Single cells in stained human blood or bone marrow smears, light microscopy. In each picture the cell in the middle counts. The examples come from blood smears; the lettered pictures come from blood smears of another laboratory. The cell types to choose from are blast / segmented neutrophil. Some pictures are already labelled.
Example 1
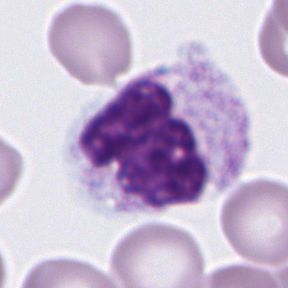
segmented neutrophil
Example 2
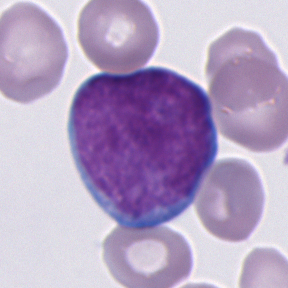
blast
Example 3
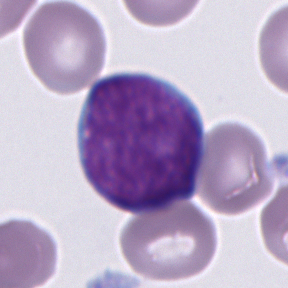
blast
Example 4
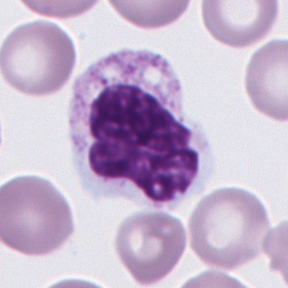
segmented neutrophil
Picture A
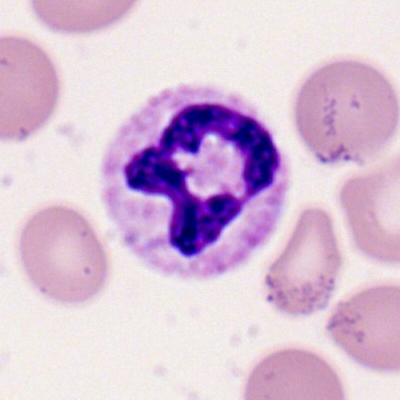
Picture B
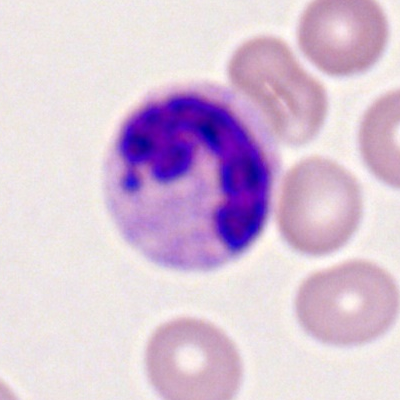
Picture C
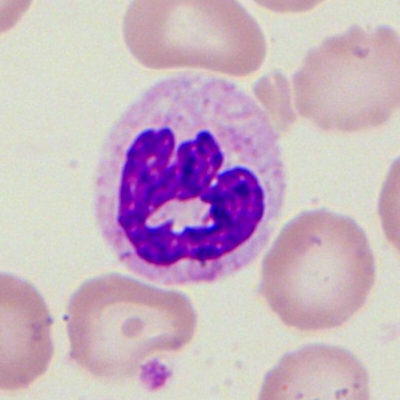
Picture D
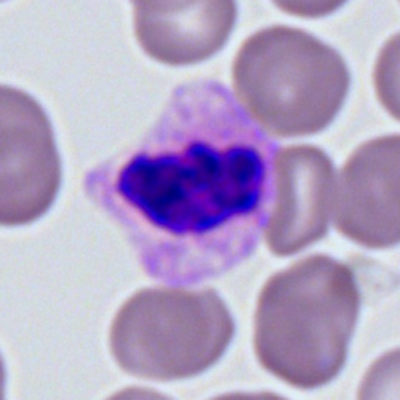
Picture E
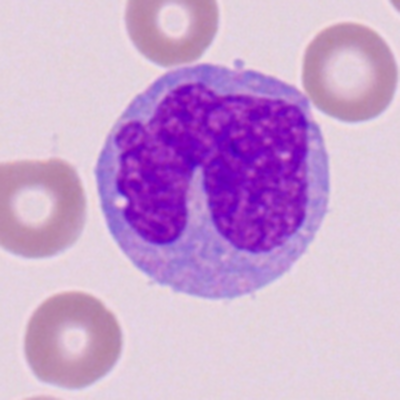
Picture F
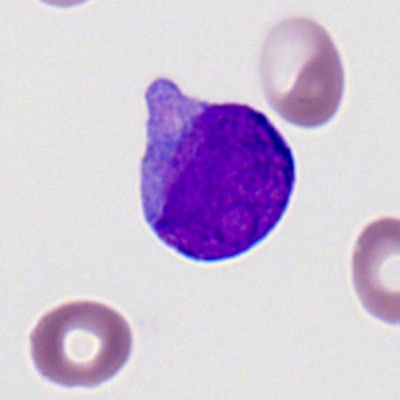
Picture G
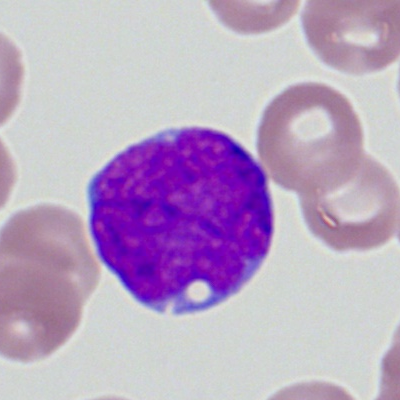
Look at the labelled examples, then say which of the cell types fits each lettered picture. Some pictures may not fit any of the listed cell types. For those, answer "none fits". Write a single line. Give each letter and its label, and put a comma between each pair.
A segmented neutrophil, B segmented neutrophil, C segmented neutrophil, D segmented neutrophil, E none fits, F blast, G blast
